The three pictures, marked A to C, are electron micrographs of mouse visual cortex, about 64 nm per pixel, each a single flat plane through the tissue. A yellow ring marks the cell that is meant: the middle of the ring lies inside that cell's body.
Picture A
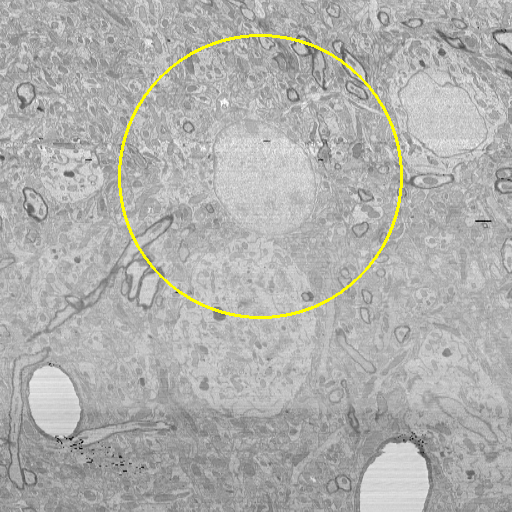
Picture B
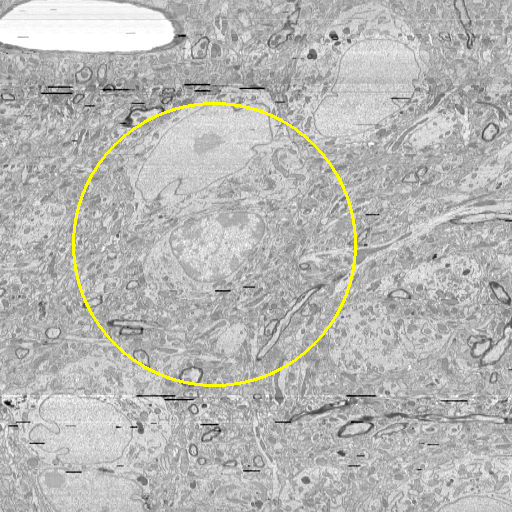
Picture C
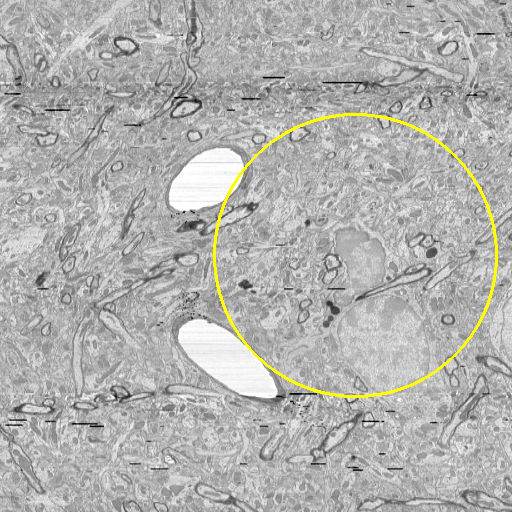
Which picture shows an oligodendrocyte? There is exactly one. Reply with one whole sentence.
It is picture B that shows the oligodendrocyte.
